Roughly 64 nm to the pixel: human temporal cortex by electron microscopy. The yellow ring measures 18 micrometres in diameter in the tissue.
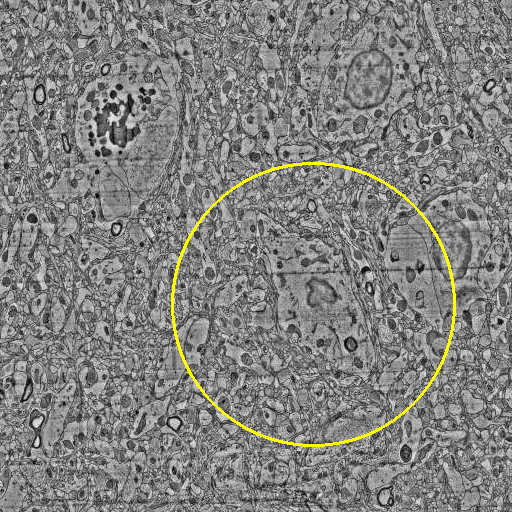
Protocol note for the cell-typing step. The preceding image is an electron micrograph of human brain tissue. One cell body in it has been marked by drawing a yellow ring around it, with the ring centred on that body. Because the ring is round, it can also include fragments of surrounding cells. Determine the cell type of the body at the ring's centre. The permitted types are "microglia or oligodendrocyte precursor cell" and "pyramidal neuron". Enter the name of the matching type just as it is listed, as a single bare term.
pyramidal neuron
